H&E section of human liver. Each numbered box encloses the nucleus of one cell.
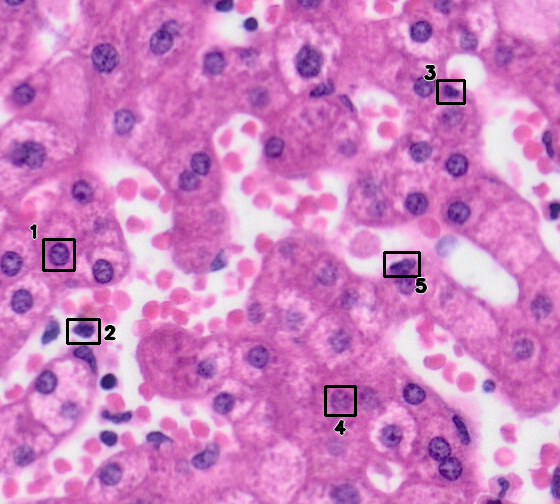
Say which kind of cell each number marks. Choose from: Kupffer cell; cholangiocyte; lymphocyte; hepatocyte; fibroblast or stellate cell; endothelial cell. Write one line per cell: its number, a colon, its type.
1: hepatocyte
2: lymphocyte
3: fibroblast or stellate cell
4: hepatocyte
5: fibroblast or stellate cell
